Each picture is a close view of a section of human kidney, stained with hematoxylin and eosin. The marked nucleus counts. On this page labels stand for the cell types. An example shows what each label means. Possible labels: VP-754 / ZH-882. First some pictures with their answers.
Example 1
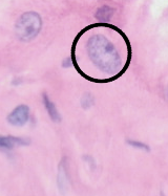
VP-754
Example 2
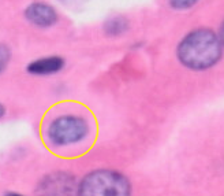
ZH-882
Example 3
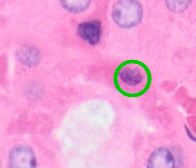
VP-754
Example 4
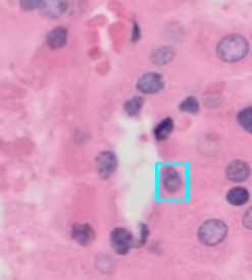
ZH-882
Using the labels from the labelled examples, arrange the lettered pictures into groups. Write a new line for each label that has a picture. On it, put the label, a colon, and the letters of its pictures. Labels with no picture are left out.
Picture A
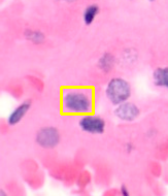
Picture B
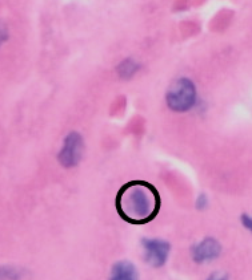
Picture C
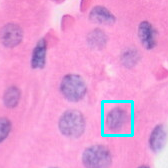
ZH-882: A, B, C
